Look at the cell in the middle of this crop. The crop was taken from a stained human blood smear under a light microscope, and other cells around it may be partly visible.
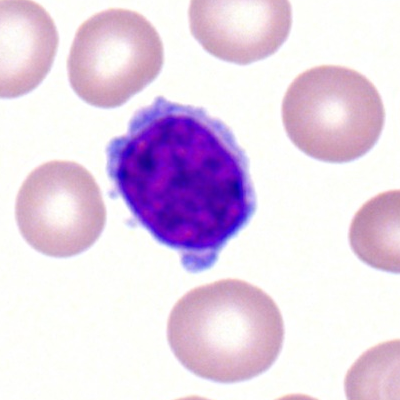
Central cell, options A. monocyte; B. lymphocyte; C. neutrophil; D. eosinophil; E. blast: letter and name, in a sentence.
The correct option is B, as the central cell is a lymphocyte.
